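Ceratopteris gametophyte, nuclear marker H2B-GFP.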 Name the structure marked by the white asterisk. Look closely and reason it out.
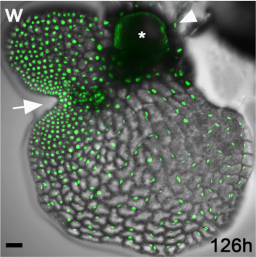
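Ruptured spore coat. The asterisk sits on a dark rounded shell at the upper edge of the thallus.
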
